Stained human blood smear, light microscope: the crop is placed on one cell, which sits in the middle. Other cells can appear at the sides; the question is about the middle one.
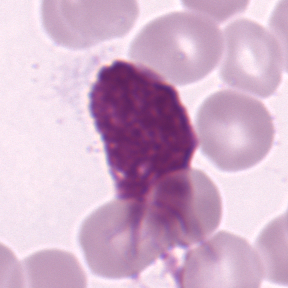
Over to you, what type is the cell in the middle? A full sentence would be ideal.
The cell that lies at the centre of the crop is a smudge cell.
